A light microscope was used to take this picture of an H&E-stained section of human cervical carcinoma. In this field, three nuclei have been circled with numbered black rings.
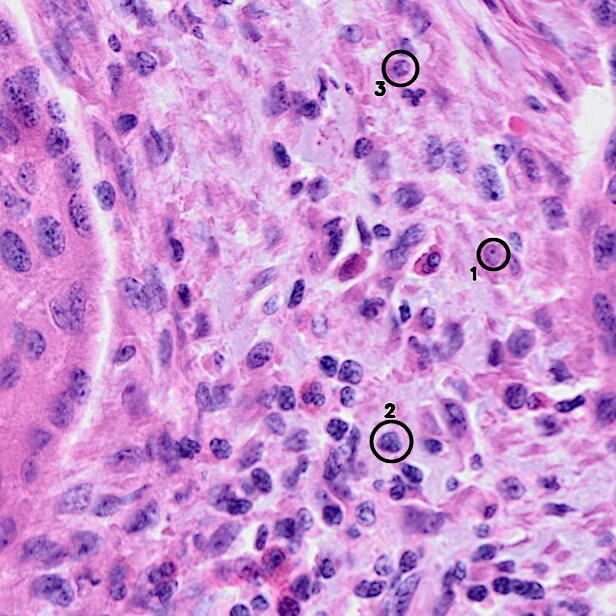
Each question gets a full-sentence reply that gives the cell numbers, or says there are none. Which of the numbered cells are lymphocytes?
Only nucleus 2 belongs to a lymphocyte; the other numbered nuclei do not.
